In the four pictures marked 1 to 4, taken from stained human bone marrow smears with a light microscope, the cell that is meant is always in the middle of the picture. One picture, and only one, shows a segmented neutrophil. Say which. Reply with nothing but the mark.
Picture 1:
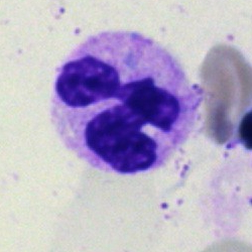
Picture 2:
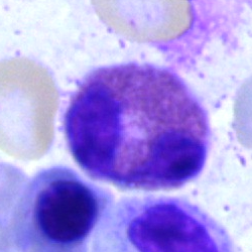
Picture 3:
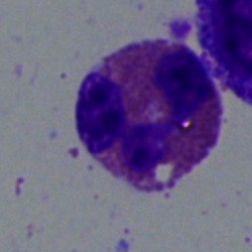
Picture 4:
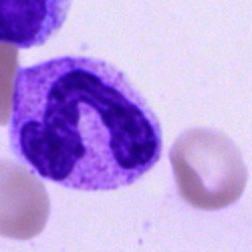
1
